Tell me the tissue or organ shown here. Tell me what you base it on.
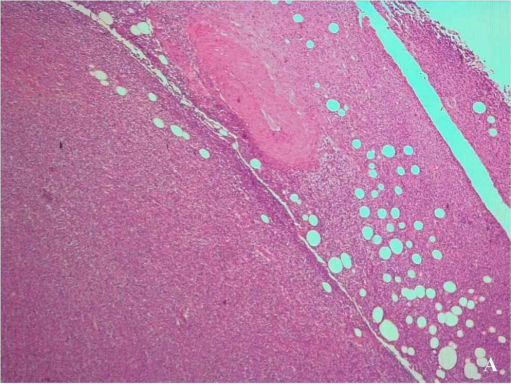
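Adipose tissue. A dense cellular lesion fills the lower left, separated from the vacuolated band by a thin line.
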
